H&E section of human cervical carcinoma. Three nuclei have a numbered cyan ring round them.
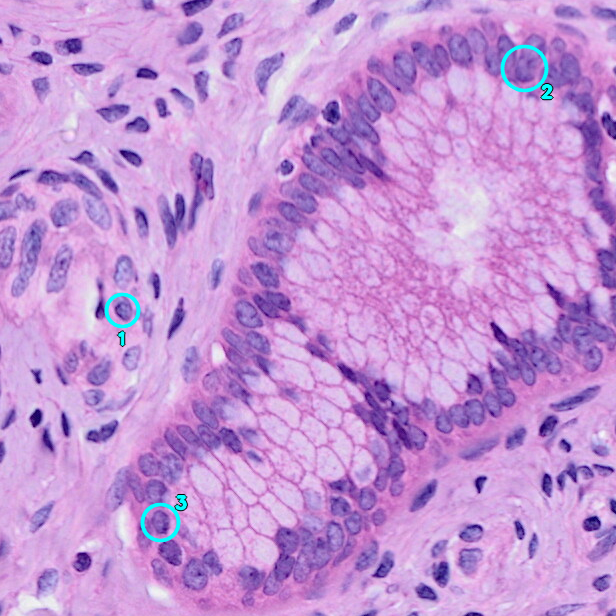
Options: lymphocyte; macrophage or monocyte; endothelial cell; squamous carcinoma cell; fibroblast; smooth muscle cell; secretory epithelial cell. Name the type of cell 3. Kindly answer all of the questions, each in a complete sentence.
Among the marked nuclei, number 3 belongs to a secretory epithelial cell.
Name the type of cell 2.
The cell numbered 2 represents a secretory epithelial cell.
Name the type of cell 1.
The cell marked with number 1 is a smooth muscle cell.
